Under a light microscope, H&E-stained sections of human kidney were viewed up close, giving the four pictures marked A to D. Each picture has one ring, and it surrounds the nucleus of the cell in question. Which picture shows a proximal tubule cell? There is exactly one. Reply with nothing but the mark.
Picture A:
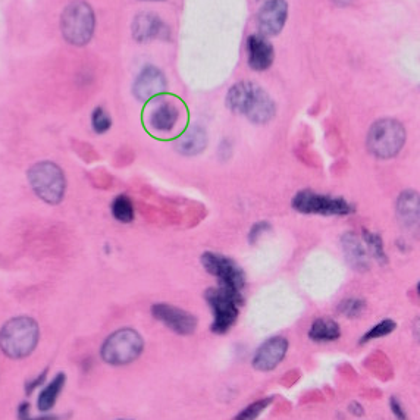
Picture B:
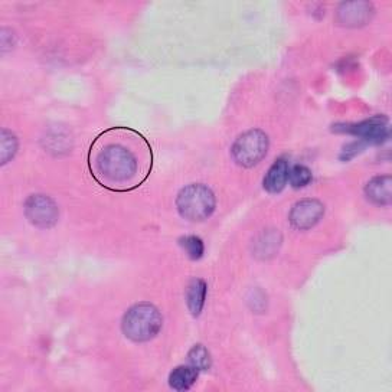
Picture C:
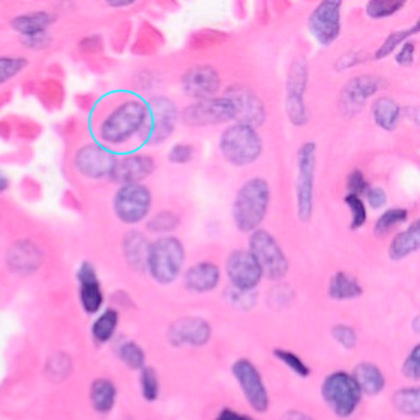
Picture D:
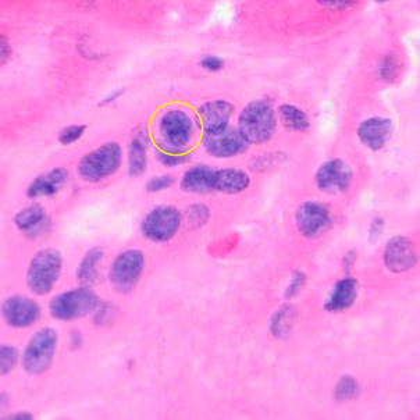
B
